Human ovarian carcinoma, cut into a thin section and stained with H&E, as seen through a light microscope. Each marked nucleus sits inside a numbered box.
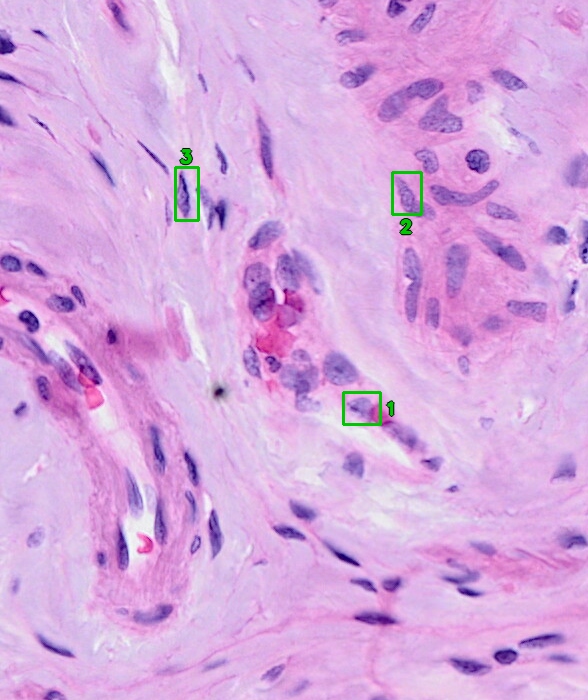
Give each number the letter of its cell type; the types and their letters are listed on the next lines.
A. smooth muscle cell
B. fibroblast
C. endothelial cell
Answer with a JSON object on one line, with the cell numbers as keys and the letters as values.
{"1": "C", "2": "A", "3": "B"}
